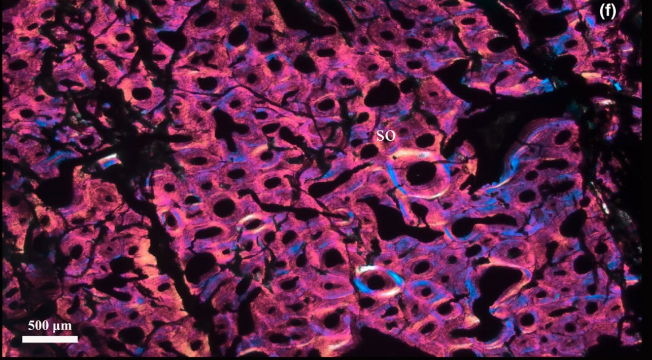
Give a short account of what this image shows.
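The bone is packed with rounded dark canals, each encircled by a ring of matrix, some with bright concentric borders. Among them lie larger irregular dark holes and cracks. The ringed units are secondary osteons, each built around a central canal, and they fill most of the cortex. The larger irregular holes are enlarged resorption cavities where bone has been removed.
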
